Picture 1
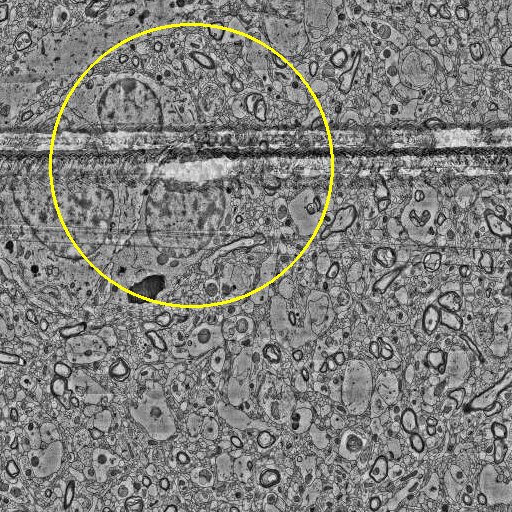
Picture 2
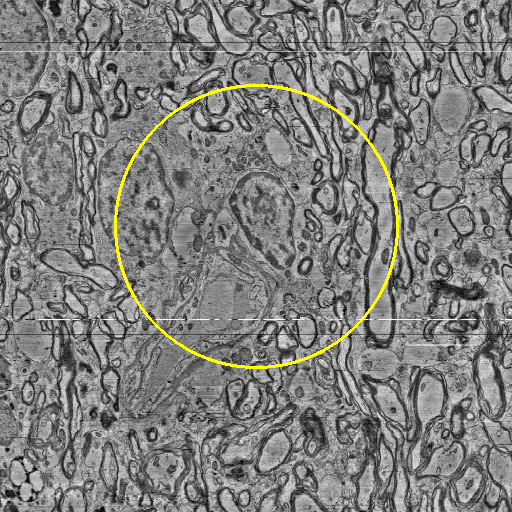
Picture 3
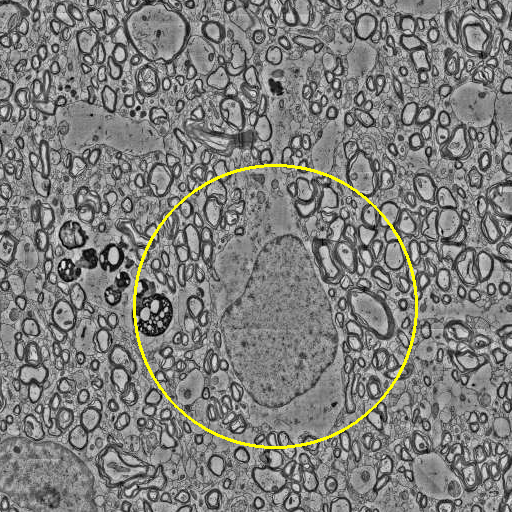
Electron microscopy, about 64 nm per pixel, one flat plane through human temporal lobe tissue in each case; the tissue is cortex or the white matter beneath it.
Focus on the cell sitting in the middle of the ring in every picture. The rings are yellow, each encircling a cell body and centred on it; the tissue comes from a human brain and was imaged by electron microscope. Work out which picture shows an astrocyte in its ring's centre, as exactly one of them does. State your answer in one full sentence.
In picture 3, the ring is centred on the cell in question.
